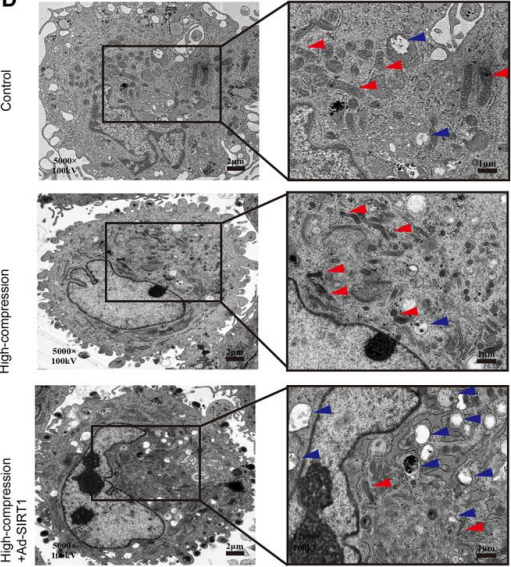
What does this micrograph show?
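The cells have large nuclei with darker clumps of chromatin, and their outlines are irregular, with many small projections along the surface. The cytoplasm holds elongated, membrane-bound mitochondria, several with visible internal cristae, marked by red arrowheads. Blue arrowheads mark rounded vacuoles, some pale and some with dense or membranous contents inside. In the lowest row such vacuoles are more numerous in the enlarged field than in the rows above.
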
